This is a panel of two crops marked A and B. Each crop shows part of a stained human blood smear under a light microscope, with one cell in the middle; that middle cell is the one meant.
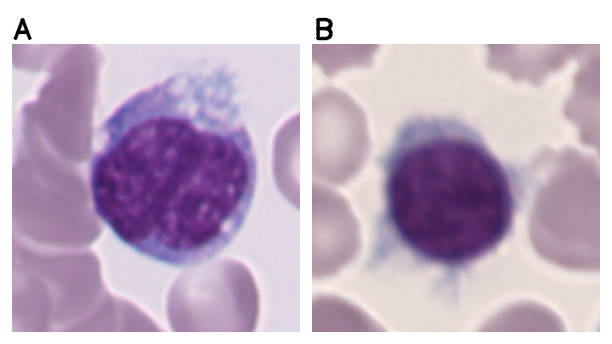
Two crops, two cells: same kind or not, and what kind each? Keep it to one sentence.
No, whereas crop A shows a monocyte, crop B shows a hairy cell.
